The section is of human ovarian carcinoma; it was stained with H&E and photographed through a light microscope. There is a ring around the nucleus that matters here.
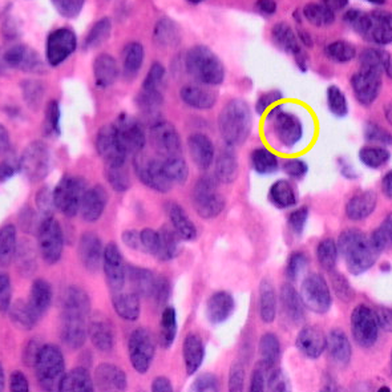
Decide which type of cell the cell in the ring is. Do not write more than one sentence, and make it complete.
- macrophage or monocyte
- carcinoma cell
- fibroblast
As a matter of cell type, the cell in the ring is a carcinoma cell.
